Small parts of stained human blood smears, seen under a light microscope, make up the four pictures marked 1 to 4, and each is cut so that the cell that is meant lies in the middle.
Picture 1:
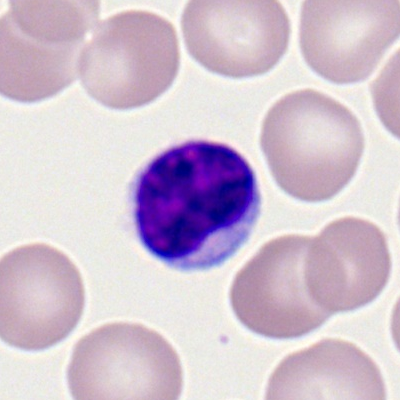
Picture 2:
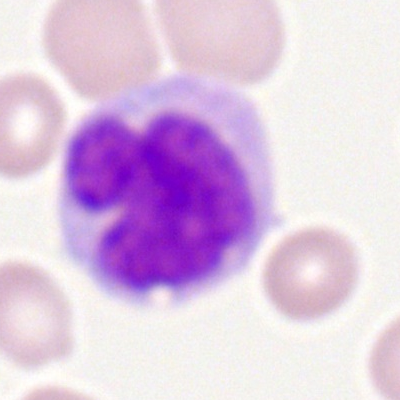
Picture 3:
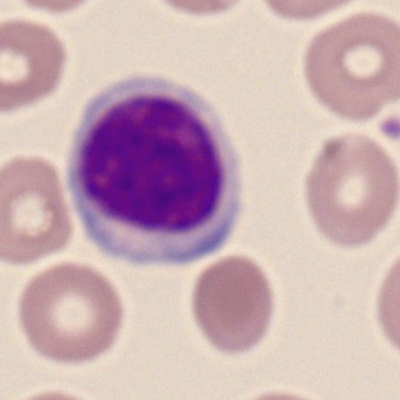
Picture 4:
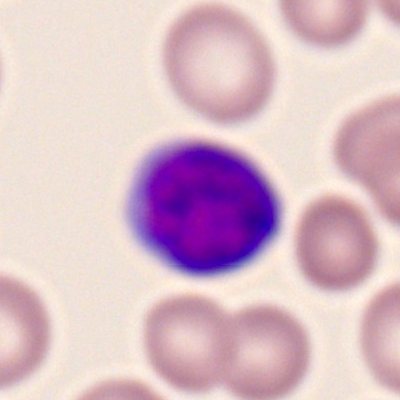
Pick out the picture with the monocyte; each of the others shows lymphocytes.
2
